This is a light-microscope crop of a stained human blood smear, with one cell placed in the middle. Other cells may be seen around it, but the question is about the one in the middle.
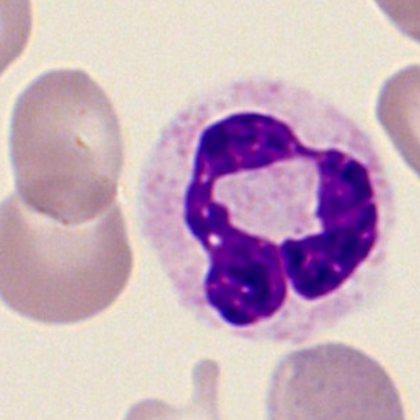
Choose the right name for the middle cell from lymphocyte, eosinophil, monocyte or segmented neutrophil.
segmented neutrophil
